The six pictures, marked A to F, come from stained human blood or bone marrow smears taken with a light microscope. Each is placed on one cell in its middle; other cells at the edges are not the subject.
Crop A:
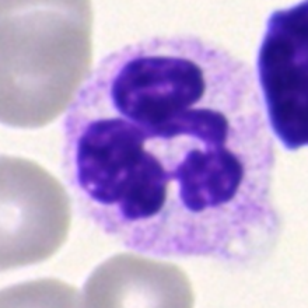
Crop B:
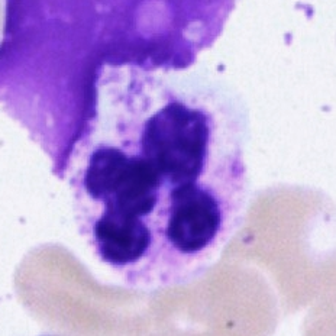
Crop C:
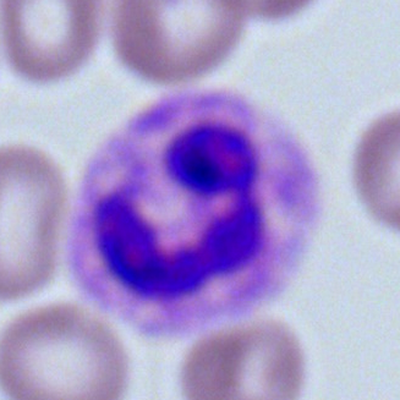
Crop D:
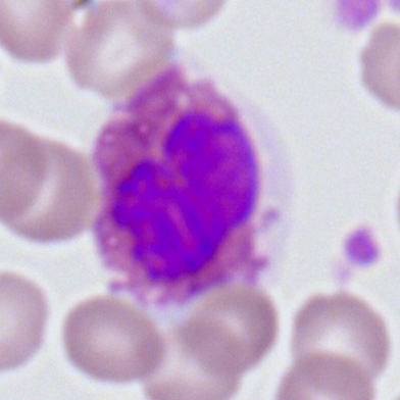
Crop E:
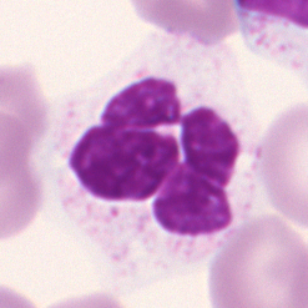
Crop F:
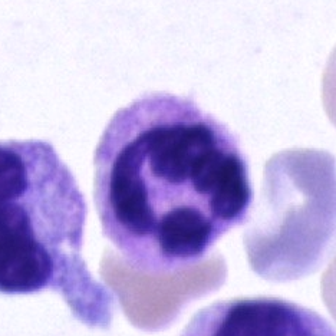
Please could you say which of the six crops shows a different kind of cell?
D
